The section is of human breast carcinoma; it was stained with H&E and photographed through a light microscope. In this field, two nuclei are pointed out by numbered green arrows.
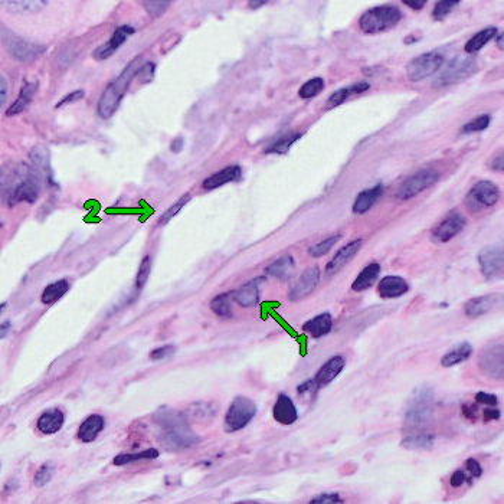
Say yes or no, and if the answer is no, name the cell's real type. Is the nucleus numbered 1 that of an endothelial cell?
Yes.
